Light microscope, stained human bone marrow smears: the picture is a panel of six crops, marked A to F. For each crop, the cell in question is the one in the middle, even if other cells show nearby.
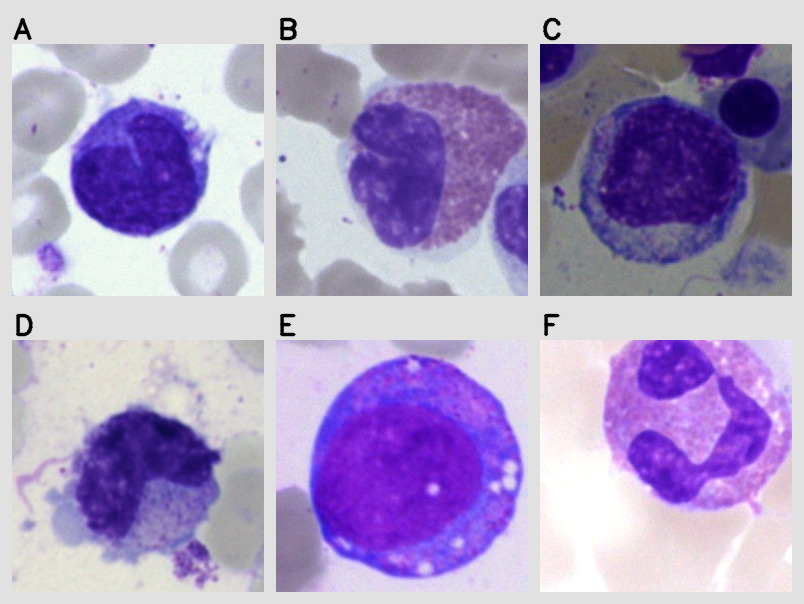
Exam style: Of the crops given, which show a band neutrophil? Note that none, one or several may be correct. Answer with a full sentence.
The crops do not show a band neutrophil, not even in one case.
